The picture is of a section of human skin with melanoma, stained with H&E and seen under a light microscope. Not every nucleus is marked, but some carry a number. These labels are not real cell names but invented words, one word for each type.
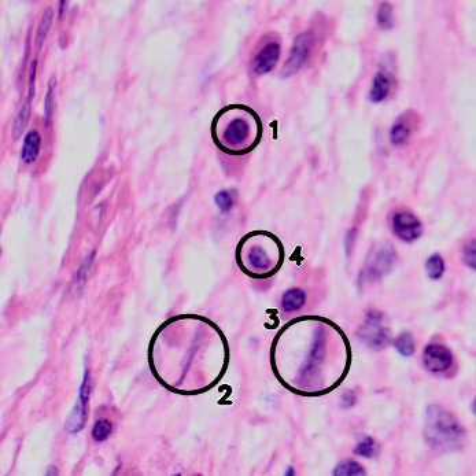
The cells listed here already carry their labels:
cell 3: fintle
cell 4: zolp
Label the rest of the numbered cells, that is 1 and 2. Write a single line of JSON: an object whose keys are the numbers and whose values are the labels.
{"1": "zolp", "2": "fintle"}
